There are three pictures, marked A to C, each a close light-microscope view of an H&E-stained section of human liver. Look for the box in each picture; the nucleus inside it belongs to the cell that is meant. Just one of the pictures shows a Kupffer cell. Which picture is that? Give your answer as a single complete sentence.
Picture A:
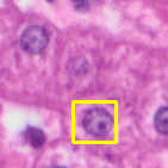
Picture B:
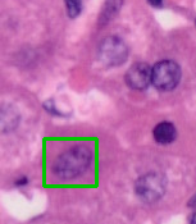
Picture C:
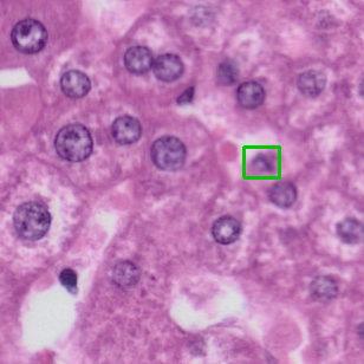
The Kupffer cell is the one in picture C.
